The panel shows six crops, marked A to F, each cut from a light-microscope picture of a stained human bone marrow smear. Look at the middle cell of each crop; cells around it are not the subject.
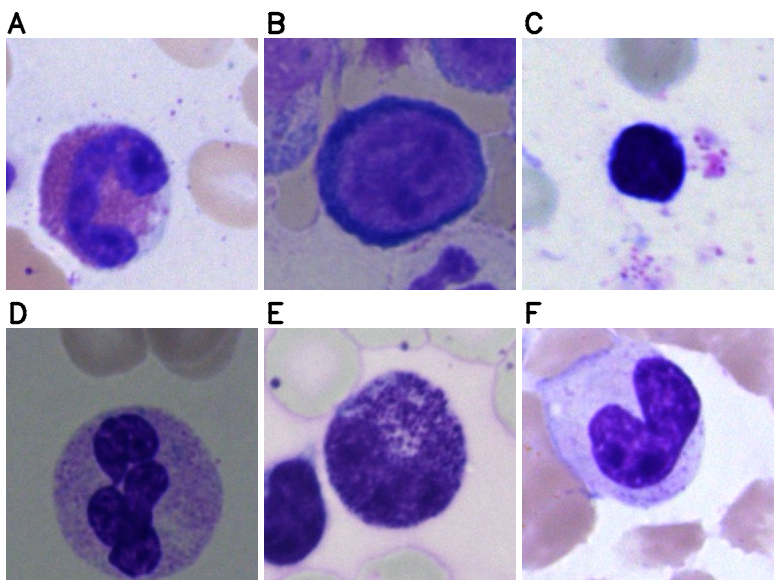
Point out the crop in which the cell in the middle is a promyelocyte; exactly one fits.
E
